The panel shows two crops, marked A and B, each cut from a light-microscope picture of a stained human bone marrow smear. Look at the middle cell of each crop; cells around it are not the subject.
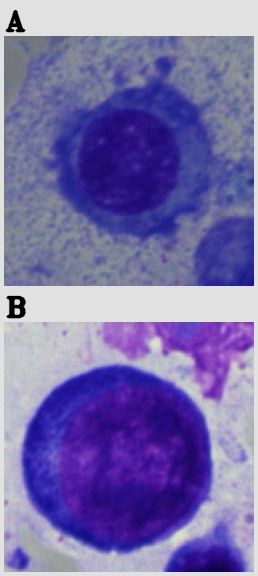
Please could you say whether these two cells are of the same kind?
no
